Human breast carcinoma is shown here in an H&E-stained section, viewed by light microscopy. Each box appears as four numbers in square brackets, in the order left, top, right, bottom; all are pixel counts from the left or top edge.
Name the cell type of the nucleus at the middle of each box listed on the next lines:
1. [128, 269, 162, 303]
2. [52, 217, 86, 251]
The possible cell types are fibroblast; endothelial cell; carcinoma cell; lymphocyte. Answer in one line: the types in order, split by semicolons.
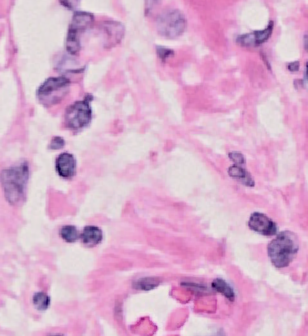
endothelial cell; lymphocyte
